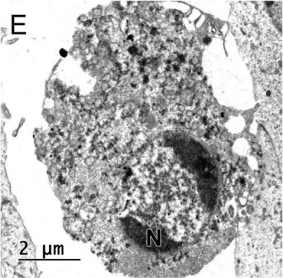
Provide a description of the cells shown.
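Transmission electron micrograph of a single rounded early apoptotic cell with nuclear condensation. The nucleus contains dark, dense masses of chromatin. The surrounding cytoplasm is granular, with scattered dark bodies and small clear vacuoles.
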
